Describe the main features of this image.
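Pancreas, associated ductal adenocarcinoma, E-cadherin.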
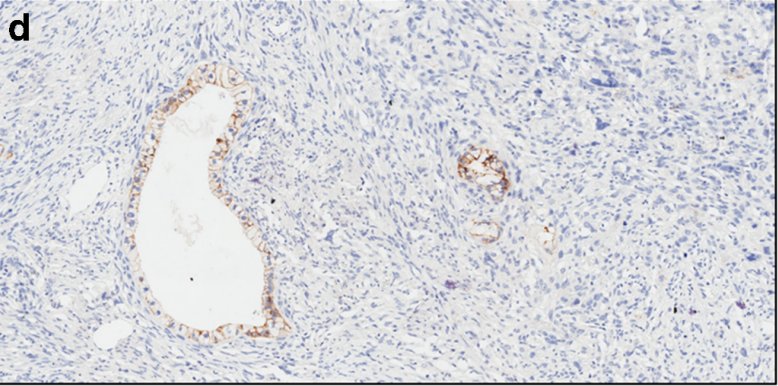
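Here the neoplastic glands stand out: the cells lining a large lumen and a small gland nearby carry a brown rim along their borders. The undifferentiated neoplastic cells around them are spindle-shaped and crowded, with blue nuclei and no brown stain at all.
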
